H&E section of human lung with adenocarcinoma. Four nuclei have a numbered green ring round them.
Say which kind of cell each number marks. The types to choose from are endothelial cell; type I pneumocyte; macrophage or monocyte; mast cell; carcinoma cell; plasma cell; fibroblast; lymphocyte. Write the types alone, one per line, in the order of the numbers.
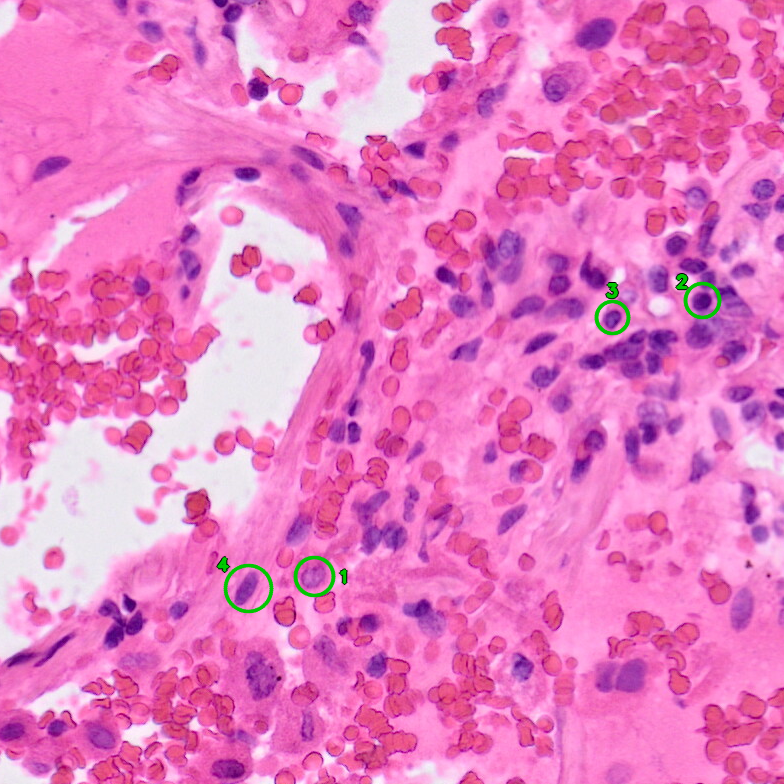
macrophage or monocyte
lymphocyte
mast cell
type I pneumocyte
